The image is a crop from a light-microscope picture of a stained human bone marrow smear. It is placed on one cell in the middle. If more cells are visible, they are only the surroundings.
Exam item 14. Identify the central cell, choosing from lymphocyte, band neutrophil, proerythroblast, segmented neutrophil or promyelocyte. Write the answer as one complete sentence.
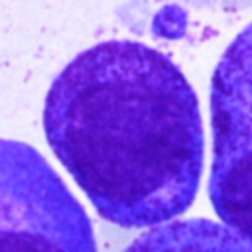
As for the central cell, it is a promyelocyte.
